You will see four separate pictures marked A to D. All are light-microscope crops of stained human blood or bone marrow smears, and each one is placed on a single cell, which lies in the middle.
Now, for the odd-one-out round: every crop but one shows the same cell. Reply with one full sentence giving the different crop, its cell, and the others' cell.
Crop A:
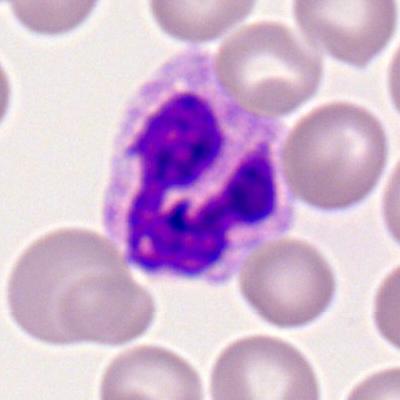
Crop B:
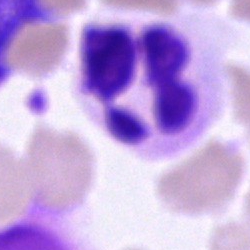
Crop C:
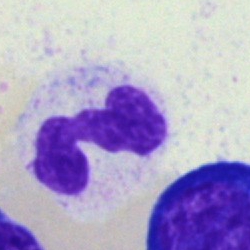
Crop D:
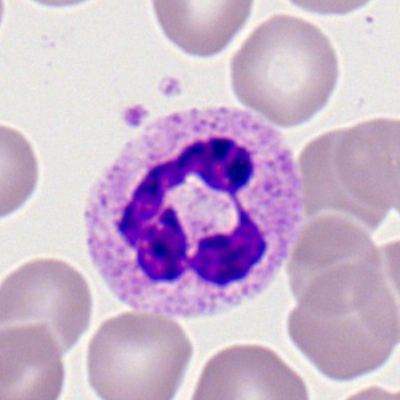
The exception is crop A: it is a basophil, and the others are all neutrophils.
